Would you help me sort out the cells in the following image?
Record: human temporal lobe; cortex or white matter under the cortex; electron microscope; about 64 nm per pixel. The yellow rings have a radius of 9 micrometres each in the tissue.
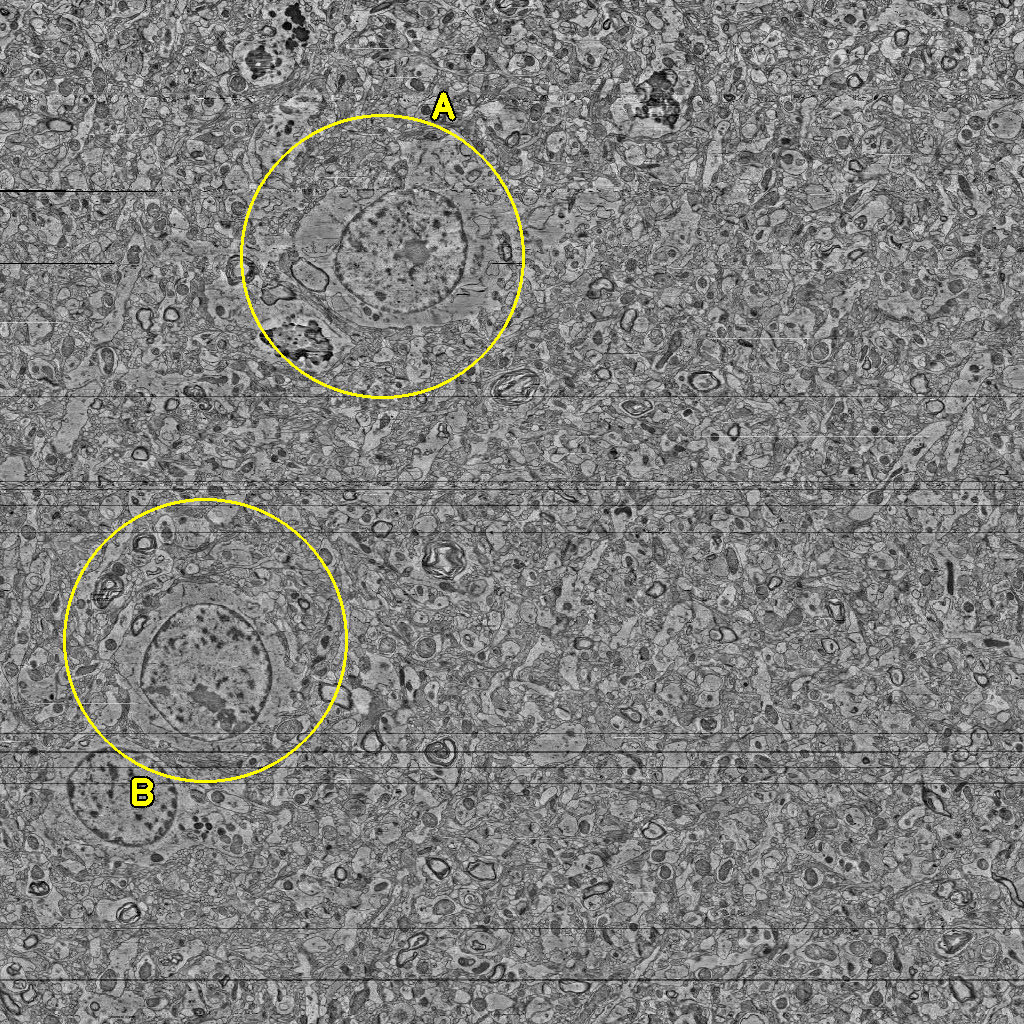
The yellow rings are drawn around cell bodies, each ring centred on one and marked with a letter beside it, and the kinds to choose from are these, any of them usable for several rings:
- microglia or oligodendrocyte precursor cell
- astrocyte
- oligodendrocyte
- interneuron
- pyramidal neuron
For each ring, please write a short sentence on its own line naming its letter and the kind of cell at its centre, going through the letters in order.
Ring A is centred on the cell body of an astrocyte.
Ring B is centred on the cell body of an astrocyte.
